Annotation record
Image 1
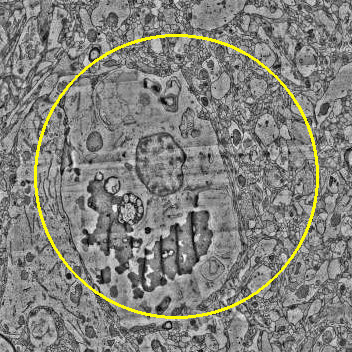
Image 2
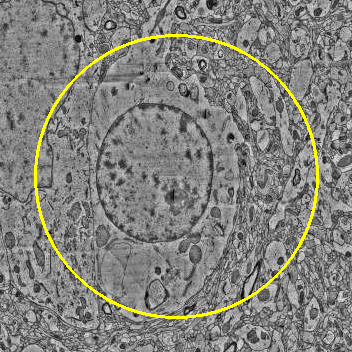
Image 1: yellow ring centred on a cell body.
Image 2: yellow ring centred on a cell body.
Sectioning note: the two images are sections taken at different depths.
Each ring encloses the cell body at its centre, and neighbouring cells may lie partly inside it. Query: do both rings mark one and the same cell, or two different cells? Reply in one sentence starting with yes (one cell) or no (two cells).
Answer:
Yes, these two rings point to one cell rather than two.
